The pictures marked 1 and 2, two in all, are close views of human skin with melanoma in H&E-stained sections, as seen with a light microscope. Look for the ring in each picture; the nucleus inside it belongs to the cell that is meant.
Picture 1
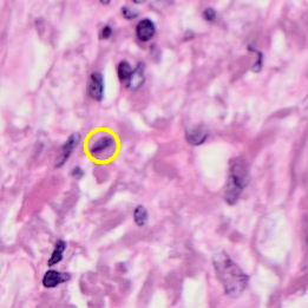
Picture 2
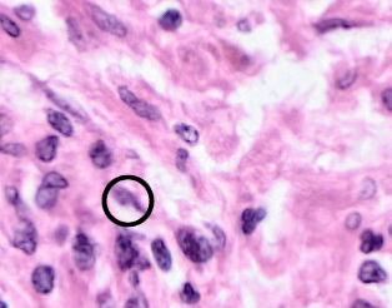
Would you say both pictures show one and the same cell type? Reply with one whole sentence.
No, they differ: the cell is a “macrophage or monocyte” in picture 1 and a “fibroblast or myofibroblast” in picture 2.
